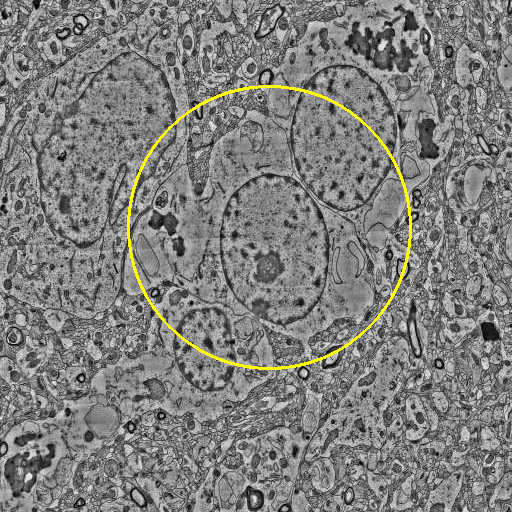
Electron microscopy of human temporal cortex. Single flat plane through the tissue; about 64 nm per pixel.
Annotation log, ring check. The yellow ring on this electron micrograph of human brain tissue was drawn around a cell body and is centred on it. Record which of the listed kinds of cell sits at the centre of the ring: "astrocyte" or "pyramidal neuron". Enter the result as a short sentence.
The cell at the centre of the ring is an astrocyte.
